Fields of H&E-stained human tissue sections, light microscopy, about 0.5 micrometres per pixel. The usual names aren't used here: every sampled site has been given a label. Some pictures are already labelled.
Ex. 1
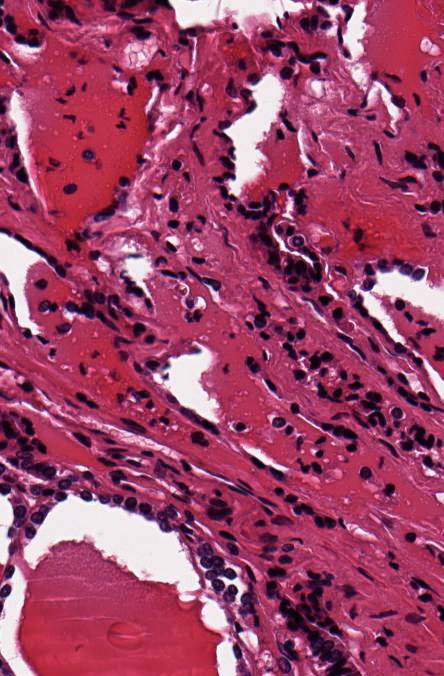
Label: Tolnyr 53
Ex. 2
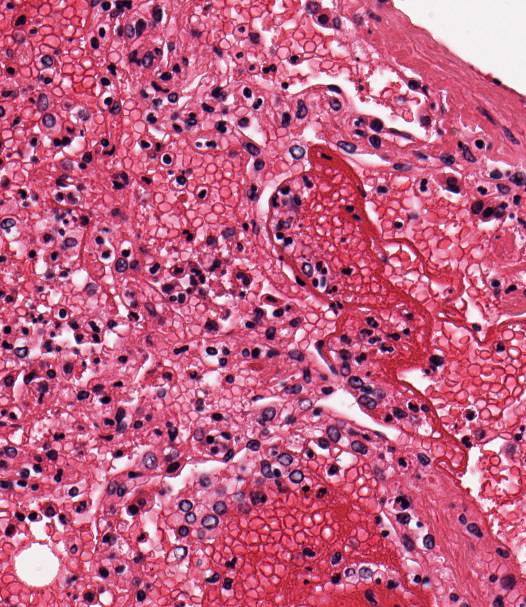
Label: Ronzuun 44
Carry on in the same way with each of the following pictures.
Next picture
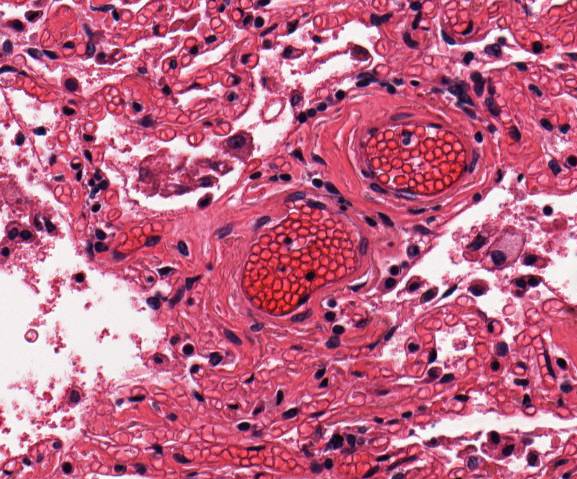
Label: Ronzuun 44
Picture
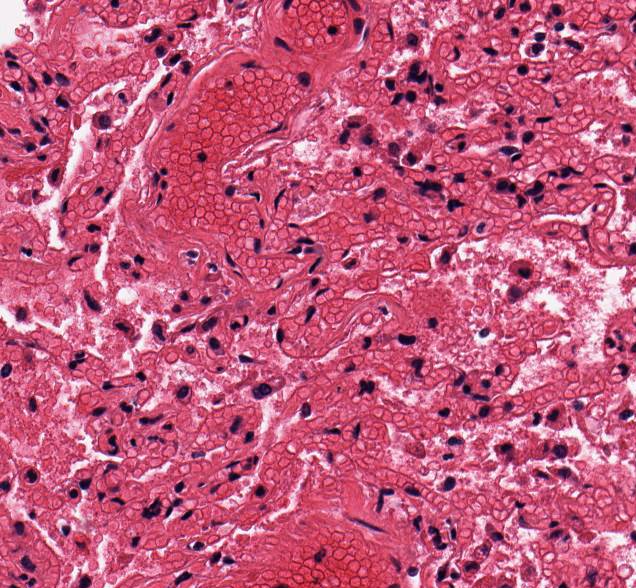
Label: Ronzuun 44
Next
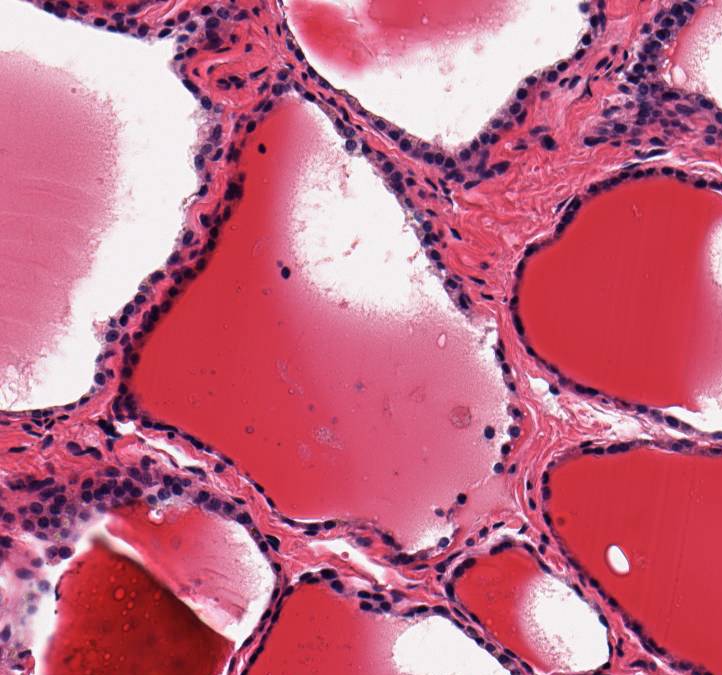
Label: Tolnyr 53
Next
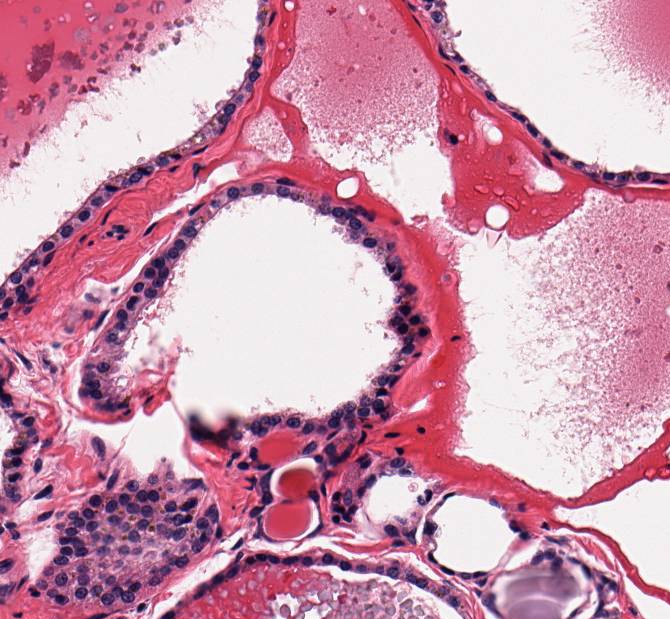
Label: Tolnyr 53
